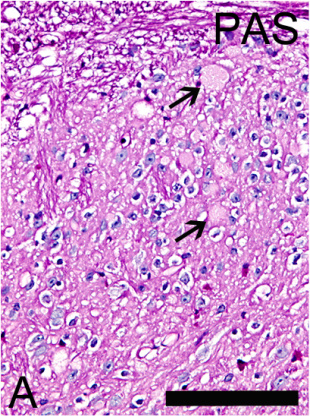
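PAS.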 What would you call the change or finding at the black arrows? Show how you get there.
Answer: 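Dystrophic axons and neurites. The arrows point to rounded, pale, swollen bodies larger than the surrounding nuclei. These bodies lack the magenta colour seen elsewhere in the section.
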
